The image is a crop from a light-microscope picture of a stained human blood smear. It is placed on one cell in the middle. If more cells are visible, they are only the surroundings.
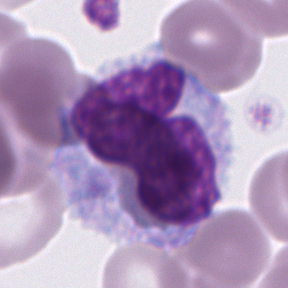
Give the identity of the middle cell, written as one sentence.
The cell at the middle of the frame should be recorded as a monocyte.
